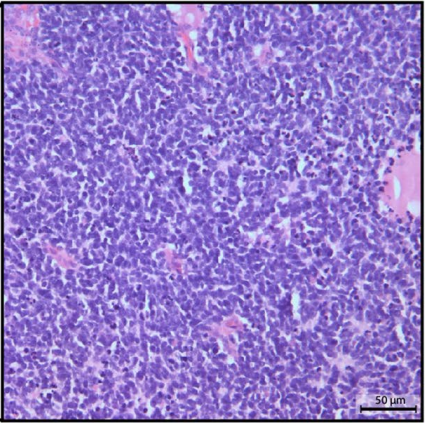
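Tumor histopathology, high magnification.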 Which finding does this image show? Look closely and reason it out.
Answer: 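Densely packed small cells in diffuse sheets. No ring-shaped arrangements of cells around a central lumen. So: absence of rosettes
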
